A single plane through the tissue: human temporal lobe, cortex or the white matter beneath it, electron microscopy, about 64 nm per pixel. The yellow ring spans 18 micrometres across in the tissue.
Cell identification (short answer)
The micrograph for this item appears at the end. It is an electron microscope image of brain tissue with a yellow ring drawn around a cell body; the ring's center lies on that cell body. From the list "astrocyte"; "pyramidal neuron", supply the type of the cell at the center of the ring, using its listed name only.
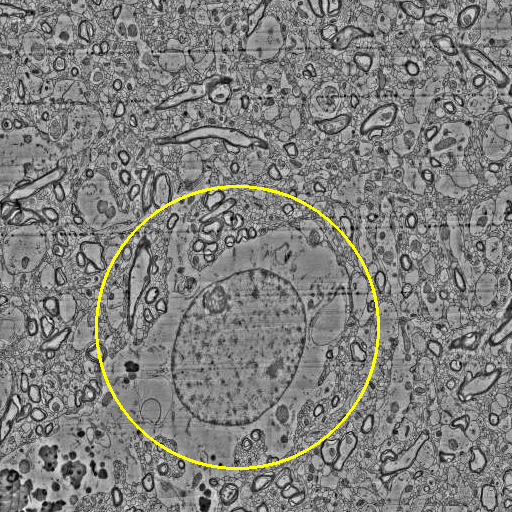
astrocyte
